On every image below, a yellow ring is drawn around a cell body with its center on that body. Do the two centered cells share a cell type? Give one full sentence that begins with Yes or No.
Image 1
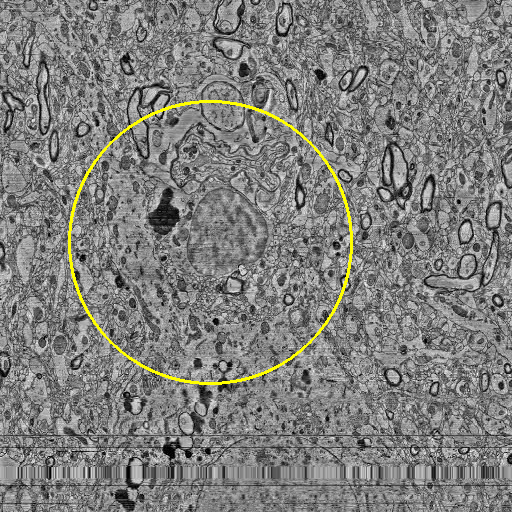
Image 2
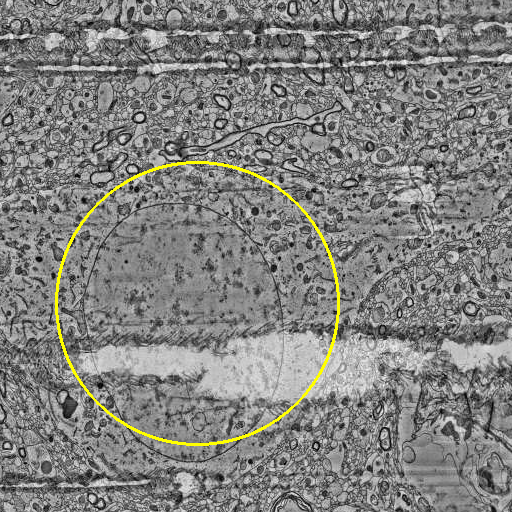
No, the centered cells in the two images are of two separate cell types.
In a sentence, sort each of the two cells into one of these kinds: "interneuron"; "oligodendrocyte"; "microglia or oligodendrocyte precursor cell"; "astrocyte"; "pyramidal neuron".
The first of the two cells is an oligodendrocyte, and the second is a pyramidal neuron.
